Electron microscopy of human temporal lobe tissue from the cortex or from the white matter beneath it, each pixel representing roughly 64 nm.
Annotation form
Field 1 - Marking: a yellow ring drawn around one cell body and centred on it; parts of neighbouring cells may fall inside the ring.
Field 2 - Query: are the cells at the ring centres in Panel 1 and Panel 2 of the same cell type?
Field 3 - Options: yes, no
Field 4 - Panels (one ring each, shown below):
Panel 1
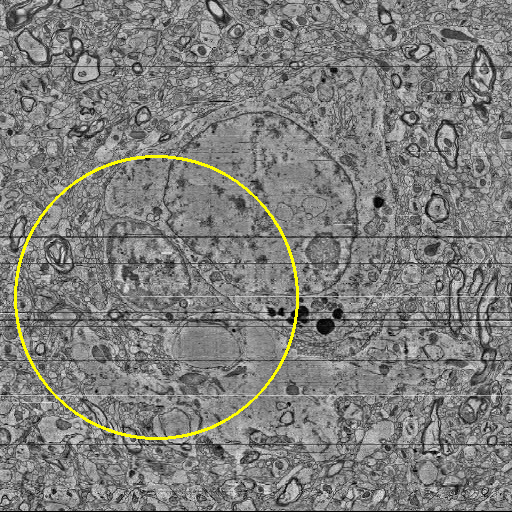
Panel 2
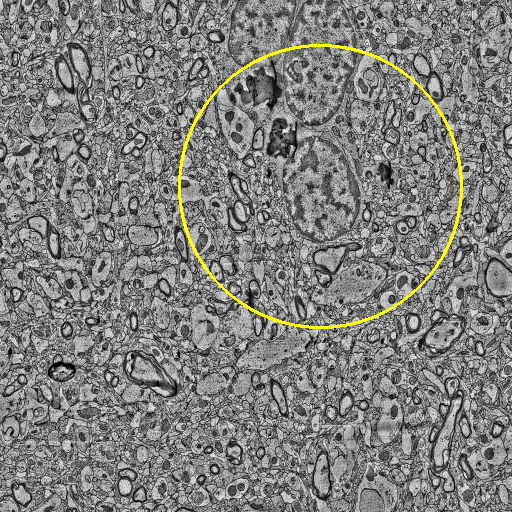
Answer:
yes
